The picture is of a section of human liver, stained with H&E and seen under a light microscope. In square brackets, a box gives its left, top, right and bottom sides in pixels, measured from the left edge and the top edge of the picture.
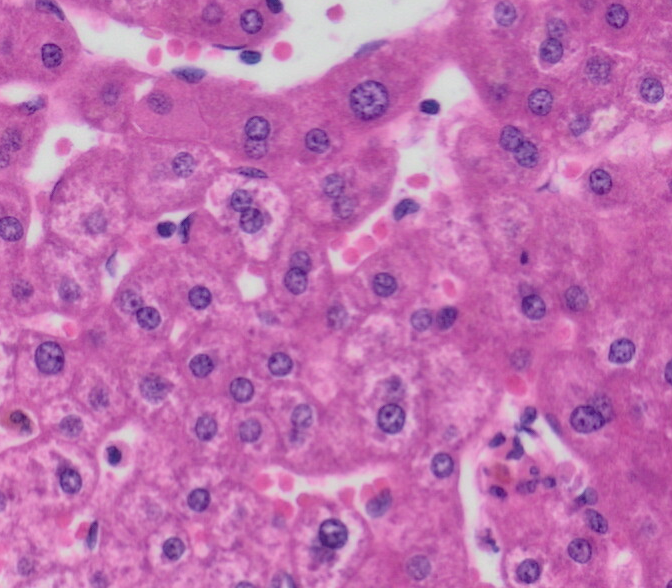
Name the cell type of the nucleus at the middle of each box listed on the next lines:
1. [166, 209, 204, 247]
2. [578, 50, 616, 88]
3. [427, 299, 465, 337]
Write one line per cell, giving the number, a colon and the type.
1: endothelial cell
2: hepatocyte
3: fibroblast or stellate cell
